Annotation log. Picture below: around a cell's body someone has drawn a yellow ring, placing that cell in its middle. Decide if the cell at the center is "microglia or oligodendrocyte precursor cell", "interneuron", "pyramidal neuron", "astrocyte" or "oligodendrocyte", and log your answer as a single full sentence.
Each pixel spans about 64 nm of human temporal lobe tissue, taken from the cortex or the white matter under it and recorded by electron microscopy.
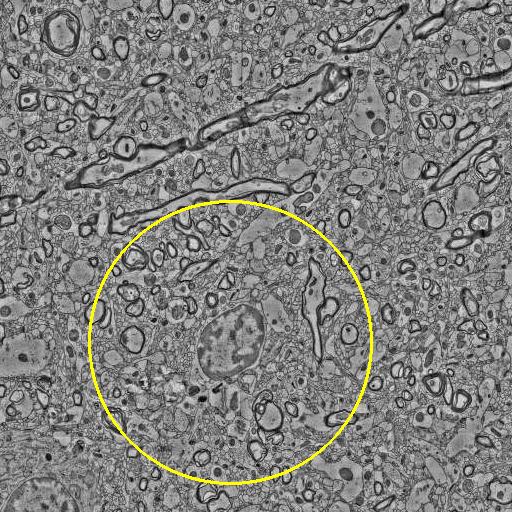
My entry records a microglial cell or oligodendrocyte precursor cell as the cell sitting at the center of the yellow ring.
